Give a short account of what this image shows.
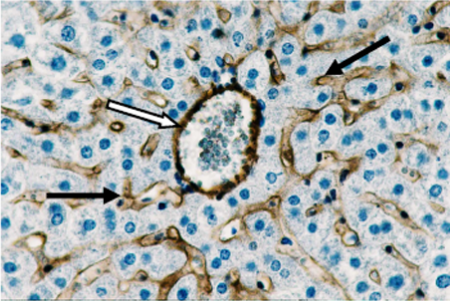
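This is liver tissue centred on a central vein, with the endothelial cells lining the vein and the sinusoids stained brown. A thin, continuous brown layer of flattened cells outlines the round lumen of the central vein, which contains a cluster of small blue-stained cells. Around it, cords of large polygonal hepatocytes with round blue nuclei and pale cytoplasm radiate outward. Between these cords run narrow sinusoidal channels whose lining cells are also stained brown, forming a branching brown network through the tissue. The hepatocytes themselves remain largely unstained.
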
